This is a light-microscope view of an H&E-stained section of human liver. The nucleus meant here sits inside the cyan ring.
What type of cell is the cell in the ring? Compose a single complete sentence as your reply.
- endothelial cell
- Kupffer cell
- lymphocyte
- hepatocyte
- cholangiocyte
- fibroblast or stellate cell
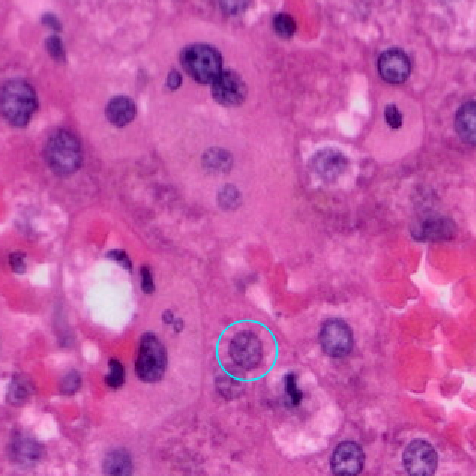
In the tissue at hand, the cell in the ring is a hepatocyte.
